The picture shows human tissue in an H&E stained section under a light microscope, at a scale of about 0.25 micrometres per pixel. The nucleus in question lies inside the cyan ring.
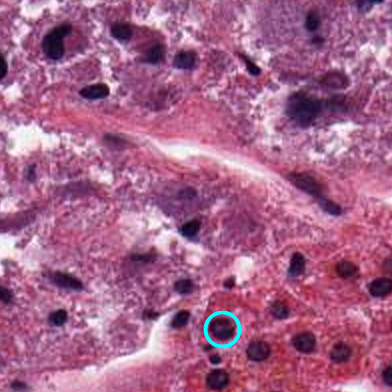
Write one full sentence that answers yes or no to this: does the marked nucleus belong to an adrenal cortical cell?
Yes, the marked nucleus is contained in an adrenal cortical cell.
